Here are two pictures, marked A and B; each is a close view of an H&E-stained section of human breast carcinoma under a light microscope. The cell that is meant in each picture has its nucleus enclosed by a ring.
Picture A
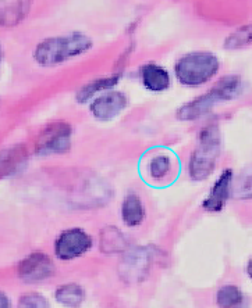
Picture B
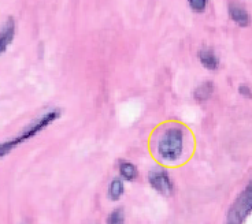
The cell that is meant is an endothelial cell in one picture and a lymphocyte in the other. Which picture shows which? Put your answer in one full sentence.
In picture A the cell is a lymphocyte; in picture B, an endothelial cell.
